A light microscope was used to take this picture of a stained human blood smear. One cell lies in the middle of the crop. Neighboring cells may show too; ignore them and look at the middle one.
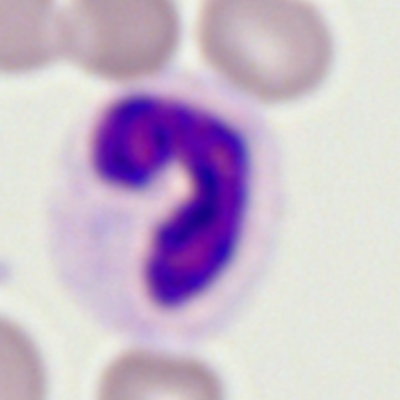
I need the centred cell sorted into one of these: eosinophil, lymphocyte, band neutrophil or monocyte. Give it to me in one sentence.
The cell in the exact centre of the crop is a band neutrophil.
